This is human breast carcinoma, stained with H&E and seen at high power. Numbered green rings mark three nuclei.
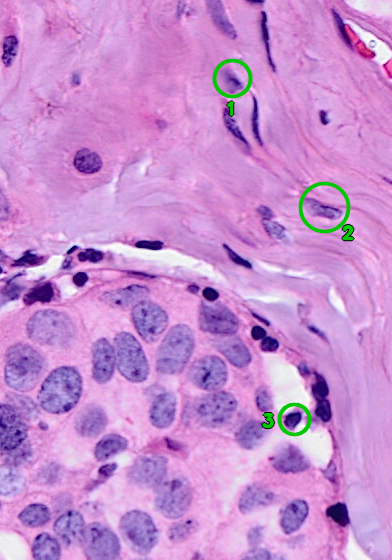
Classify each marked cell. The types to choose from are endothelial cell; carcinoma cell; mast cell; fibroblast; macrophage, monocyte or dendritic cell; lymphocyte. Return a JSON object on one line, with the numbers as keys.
{"1": "fibroblast", "2": "fibroblast", "3": "lymphocyte"}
